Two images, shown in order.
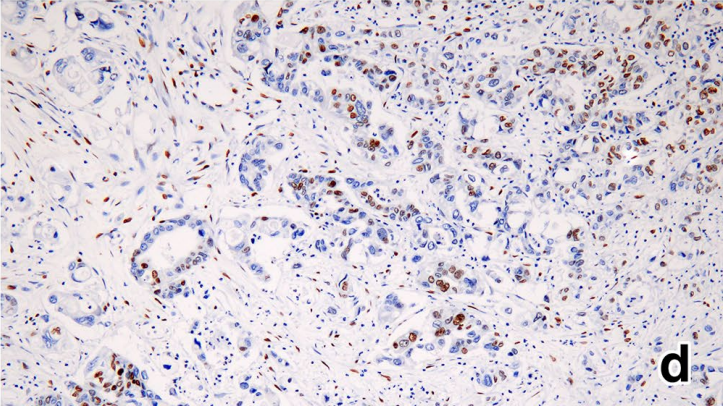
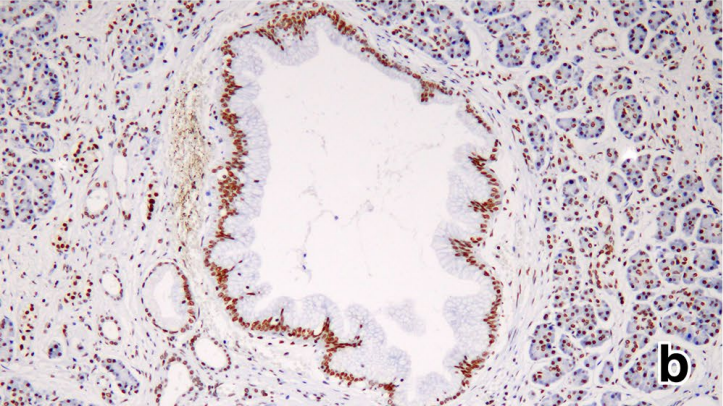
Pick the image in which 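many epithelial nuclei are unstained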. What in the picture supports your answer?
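First image: many nuclei of the infiltrating glands are blue only, mixed with brown ones. Second image: nuclei of the duct lining are evenly and strongly brown.
Conclusion: the first image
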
